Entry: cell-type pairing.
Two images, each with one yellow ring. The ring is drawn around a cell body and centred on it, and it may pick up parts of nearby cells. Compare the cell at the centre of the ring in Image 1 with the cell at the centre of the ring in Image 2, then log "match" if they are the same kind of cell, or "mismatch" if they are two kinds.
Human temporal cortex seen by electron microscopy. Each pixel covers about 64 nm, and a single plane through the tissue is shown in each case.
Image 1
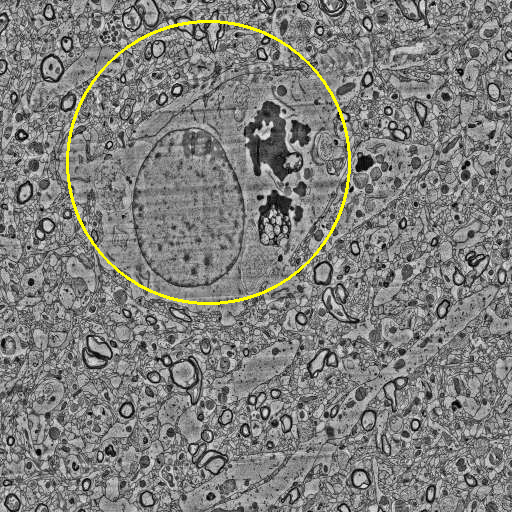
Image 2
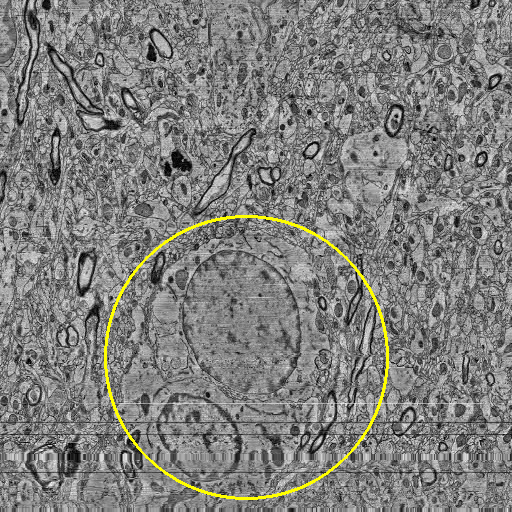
match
